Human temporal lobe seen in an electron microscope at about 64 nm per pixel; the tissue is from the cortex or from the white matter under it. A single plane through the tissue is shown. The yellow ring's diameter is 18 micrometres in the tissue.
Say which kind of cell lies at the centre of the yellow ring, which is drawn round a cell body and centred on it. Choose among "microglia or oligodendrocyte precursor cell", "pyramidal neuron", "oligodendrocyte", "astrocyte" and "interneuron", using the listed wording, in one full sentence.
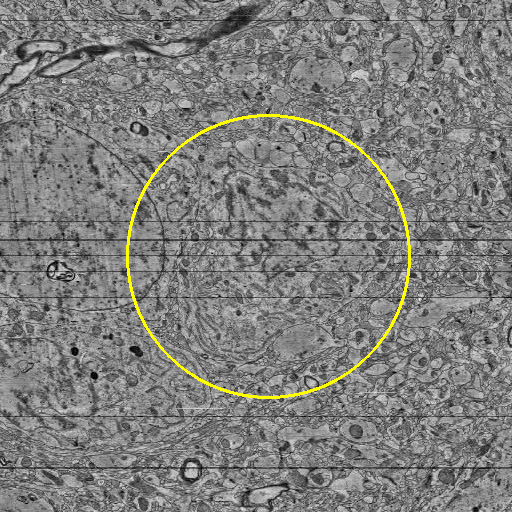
Going by the list, the cell at the yellow ring's centre is an interneuron.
